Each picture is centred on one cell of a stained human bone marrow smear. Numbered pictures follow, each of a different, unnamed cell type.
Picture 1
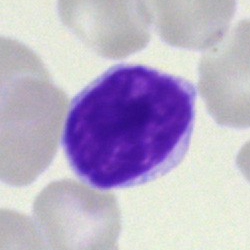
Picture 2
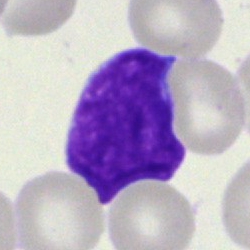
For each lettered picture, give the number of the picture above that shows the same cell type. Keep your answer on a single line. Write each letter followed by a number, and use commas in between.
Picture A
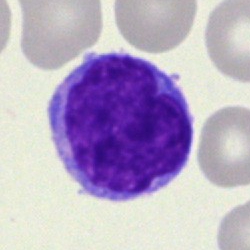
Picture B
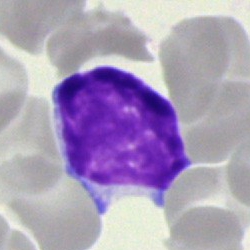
A 2, B 1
